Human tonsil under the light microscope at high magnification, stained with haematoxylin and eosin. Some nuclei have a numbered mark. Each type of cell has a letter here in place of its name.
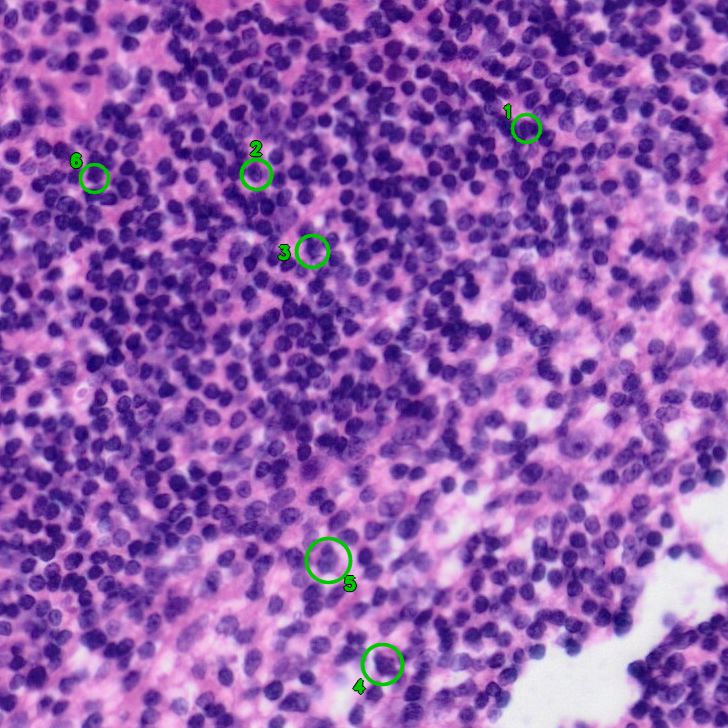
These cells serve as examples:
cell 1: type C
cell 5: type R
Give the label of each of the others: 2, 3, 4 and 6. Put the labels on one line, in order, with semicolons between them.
type C; type C; type R; type C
